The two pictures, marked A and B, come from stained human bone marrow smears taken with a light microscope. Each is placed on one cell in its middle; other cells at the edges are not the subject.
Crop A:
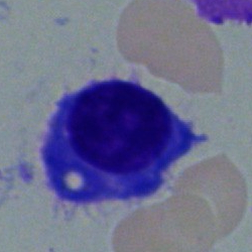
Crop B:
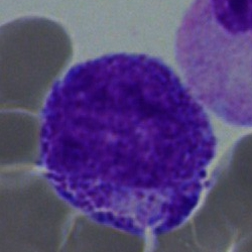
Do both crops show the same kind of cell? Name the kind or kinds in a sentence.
No, crop A corresponds to a plasma cell, while crop B corresponds to a myelocyte.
